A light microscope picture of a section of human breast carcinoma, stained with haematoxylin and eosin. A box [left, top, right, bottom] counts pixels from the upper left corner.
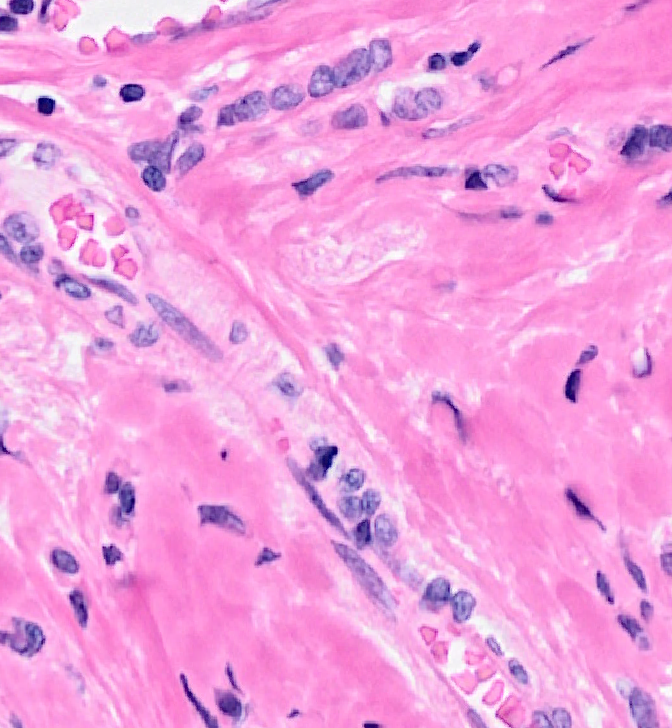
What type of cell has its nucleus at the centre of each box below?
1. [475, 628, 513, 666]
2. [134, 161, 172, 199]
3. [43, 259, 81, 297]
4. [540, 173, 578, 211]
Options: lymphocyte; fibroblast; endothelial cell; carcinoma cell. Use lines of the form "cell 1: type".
cell 1: endothelial cell
cell 2: lymphocyte
cell 3: endothelial cell
cell 4: endothelial cell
